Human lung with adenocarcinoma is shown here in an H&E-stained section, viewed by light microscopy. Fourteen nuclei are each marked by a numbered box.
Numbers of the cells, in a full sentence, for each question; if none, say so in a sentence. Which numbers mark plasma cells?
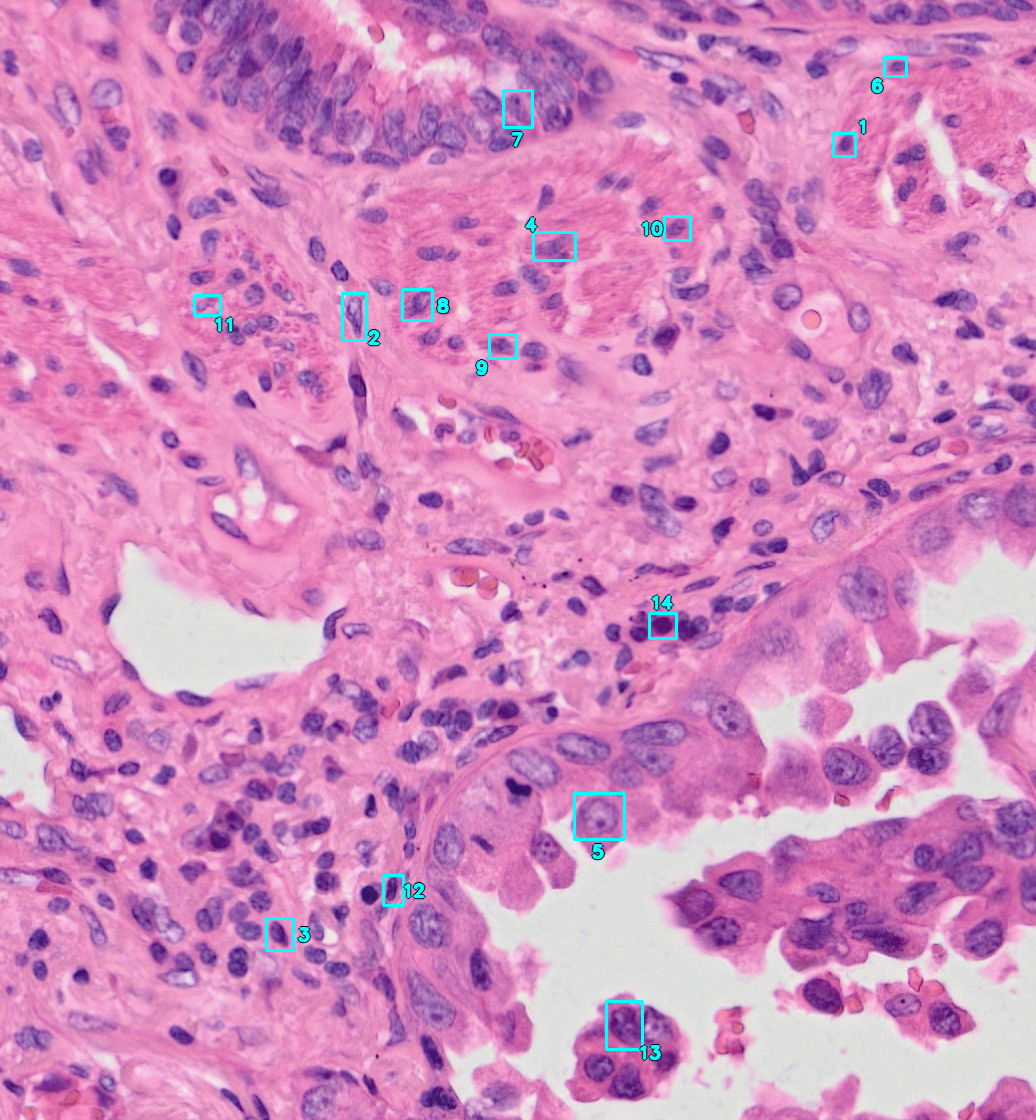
Only the cell numbered 14 is a plasma cell, and the others are something else.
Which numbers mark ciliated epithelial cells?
The nucleus labelled 7 alone belongs to a ciliated epithelial cell; the other marked nuclei do not.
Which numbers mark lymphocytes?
Within the section, cells numbered 3 and 12 are lymphocytes.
